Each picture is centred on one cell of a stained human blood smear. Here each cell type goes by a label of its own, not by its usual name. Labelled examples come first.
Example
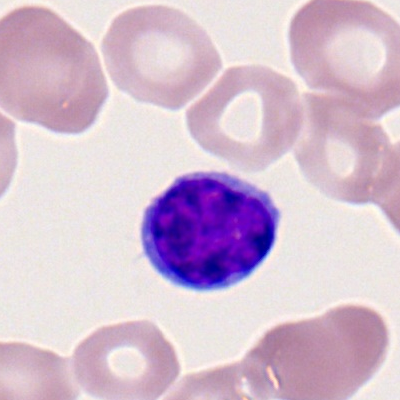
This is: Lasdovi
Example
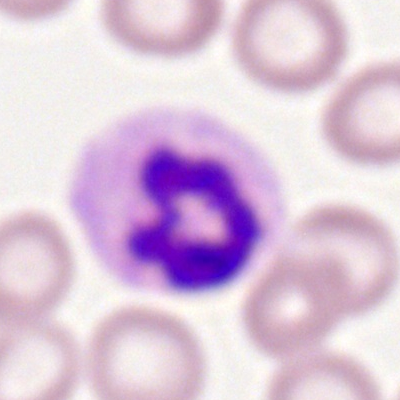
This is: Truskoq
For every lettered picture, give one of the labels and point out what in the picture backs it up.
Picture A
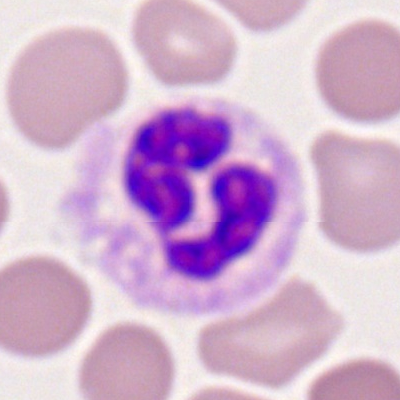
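Truskoq. Evidence: The cytoplasm is plentiful and pale pinkish-lilac.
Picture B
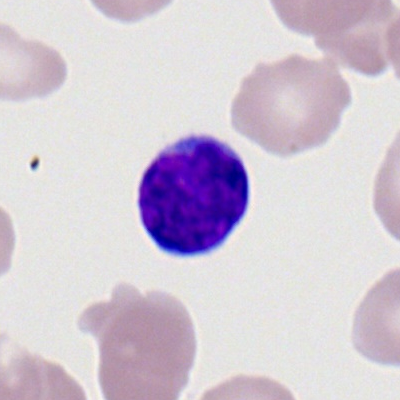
Lasdovi. Evidence: The cytoplasm is scant, showing as a thin crescent at the upper edge.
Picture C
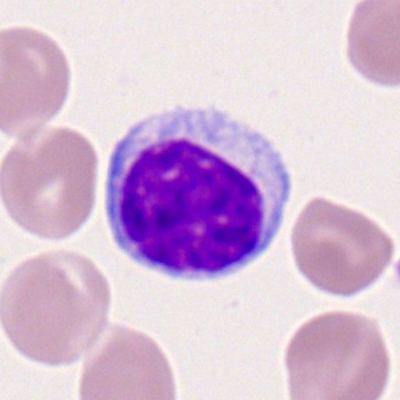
Lasdovi. Evidence: The nucleus fills most of the cell.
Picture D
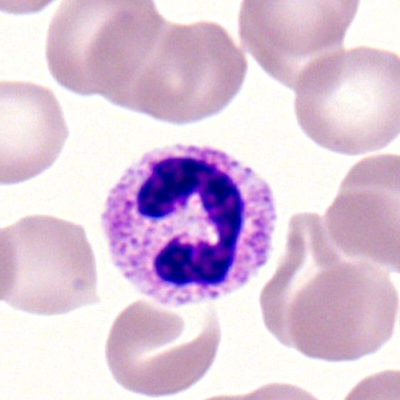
Truskoq. Evidence: The nucleus is a single curved band bent into a horseshoe shape.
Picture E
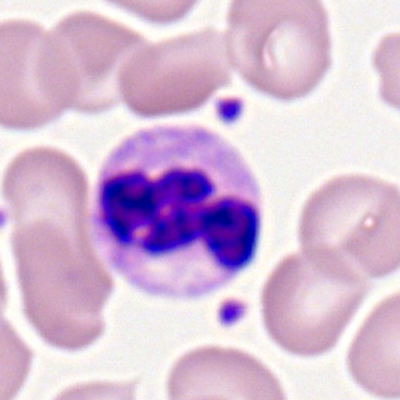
Truskoq. Evidence: The cytoplasm is plentiful and pale pinkish-lilac.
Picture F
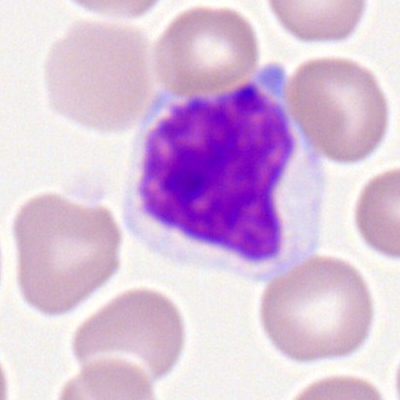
Lasdovi. Evidence: The nucleus fills most of the cell.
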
